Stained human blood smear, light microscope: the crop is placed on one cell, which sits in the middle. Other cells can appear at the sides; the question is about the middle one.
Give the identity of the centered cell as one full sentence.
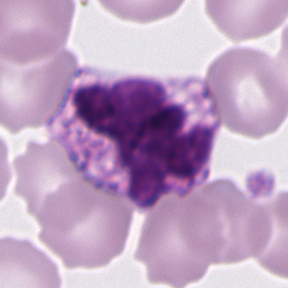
The cell at the central position in this crop is a basophil.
